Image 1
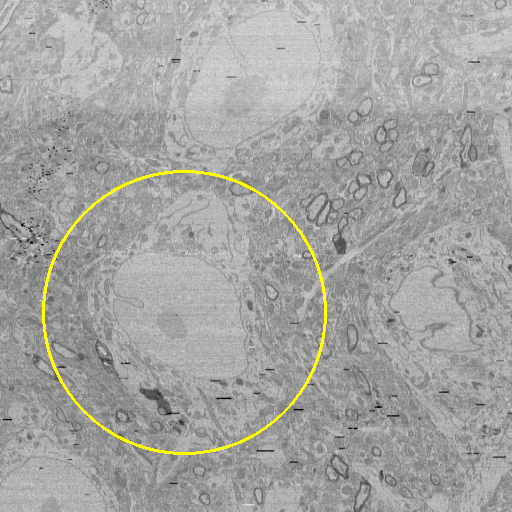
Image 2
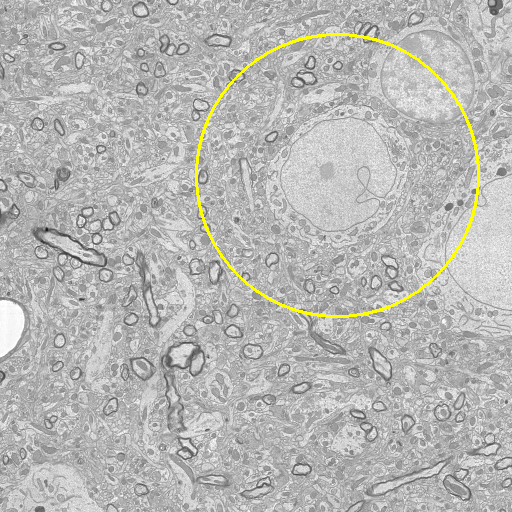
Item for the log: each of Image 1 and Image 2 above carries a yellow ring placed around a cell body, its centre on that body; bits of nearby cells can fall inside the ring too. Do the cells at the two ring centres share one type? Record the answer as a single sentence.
No, the two cells at the ring centres in Image 1 and Image 2 are of two types.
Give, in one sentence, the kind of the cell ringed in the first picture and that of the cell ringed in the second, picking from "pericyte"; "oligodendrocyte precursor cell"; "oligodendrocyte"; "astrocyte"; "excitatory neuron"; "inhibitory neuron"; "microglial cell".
For the first picture it is an excitatory neuron; for the second, an inhibitory neuron.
